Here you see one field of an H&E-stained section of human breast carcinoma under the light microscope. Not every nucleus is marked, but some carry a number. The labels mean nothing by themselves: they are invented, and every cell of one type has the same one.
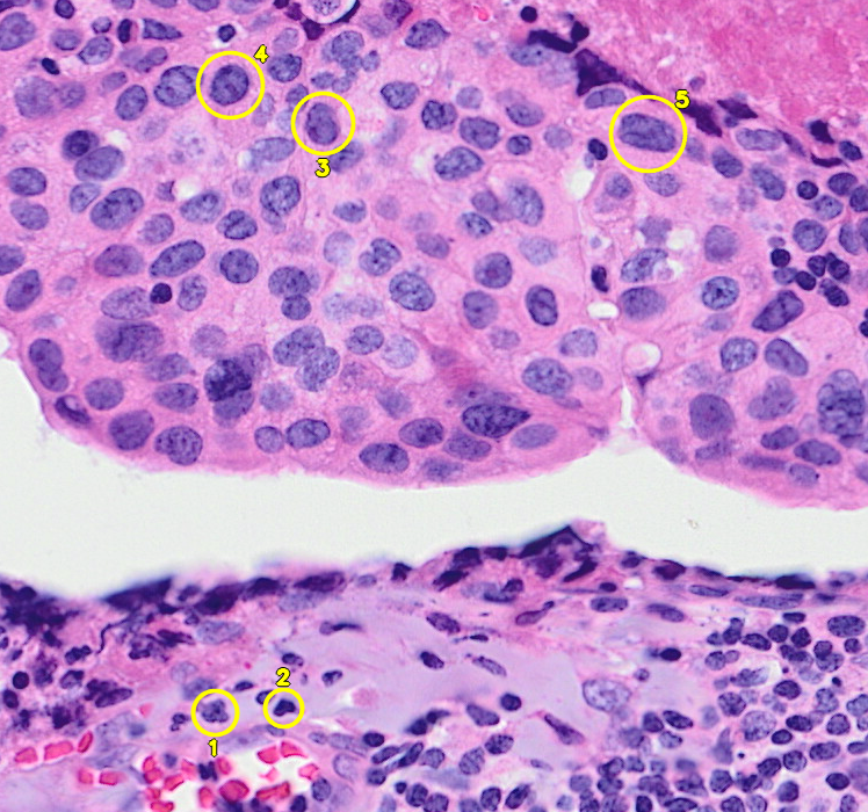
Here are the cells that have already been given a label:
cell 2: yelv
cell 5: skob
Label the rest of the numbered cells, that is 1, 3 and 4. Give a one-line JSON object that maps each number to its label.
{"1": "yelv", "3": "skob", "4": "skob"}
